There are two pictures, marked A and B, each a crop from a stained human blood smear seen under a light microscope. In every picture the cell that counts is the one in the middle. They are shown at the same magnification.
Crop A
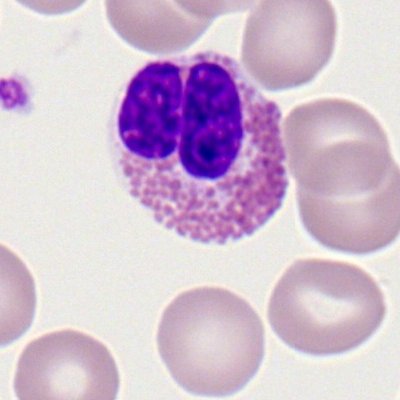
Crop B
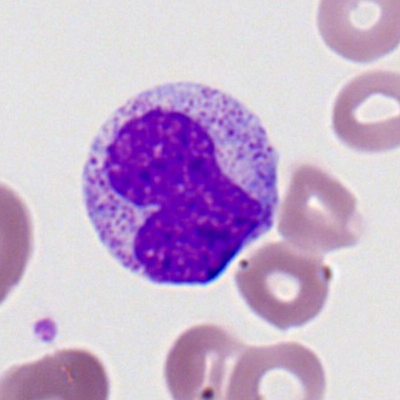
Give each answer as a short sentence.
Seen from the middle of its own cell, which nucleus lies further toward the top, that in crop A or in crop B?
In crop A the nucleus is shifted more toward the top.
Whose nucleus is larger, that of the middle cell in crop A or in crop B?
The nucleus in crop B is larger, with about 1.5 times the area of the one in crop A.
